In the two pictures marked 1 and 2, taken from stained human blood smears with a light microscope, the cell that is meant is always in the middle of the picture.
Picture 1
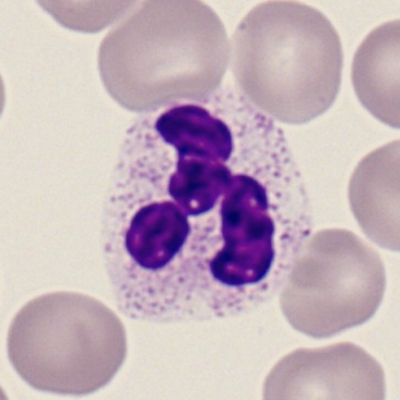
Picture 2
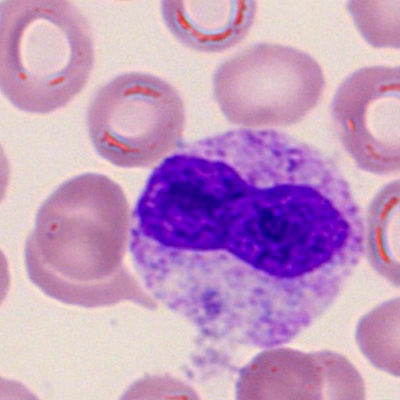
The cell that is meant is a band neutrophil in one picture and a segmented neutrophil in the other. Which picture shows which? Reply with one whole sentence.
Picture 2 shows a band neutrophil, while picture 1 shows a segmented neutrophil.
